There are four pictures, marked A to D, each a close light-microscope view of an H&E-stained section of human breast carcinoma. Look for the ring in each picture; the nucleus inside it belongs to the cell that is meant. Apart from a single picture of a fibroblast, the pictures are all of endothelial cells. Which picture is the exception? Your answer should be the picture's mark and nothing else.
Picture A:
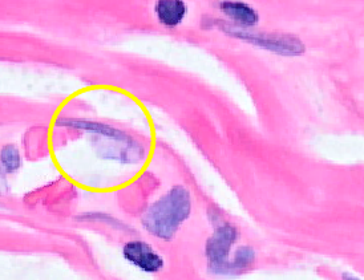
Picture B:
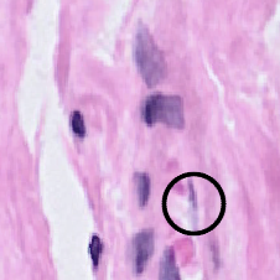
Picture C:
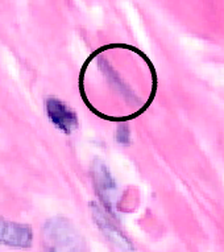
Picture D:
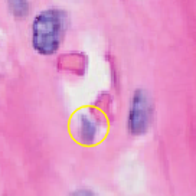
C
